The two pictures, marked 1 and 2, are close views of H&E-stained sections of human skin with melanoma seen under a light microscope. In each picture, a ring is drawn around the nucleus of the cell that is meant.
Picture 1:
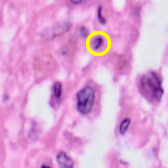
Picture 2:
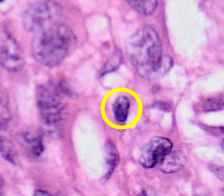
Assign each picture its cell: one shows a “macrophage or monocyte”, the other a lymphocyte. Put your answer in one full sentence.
In picture 1 the cell is a “macrophage or monocyte”; in picture 2, a lymphocyte.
